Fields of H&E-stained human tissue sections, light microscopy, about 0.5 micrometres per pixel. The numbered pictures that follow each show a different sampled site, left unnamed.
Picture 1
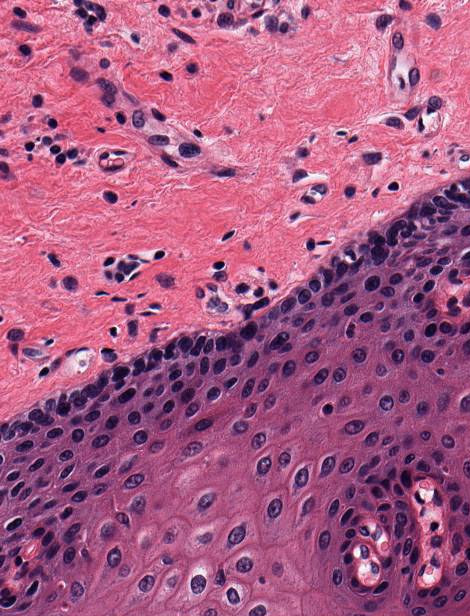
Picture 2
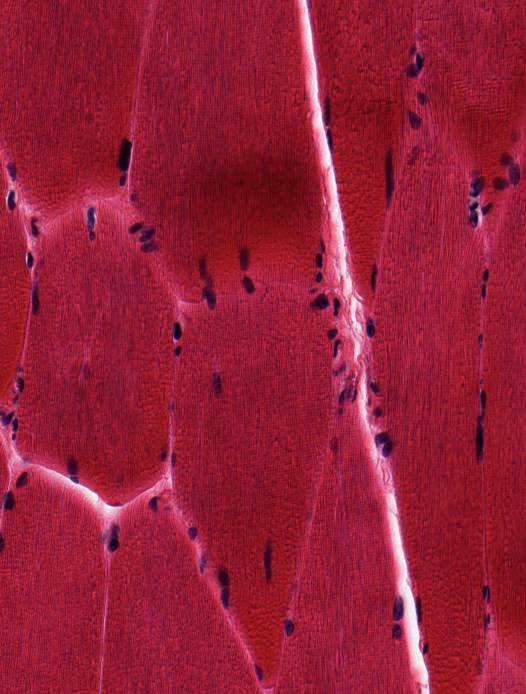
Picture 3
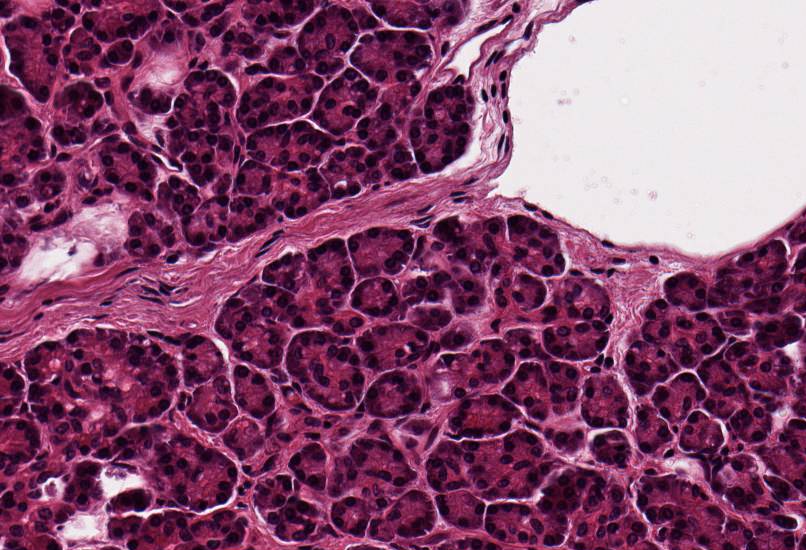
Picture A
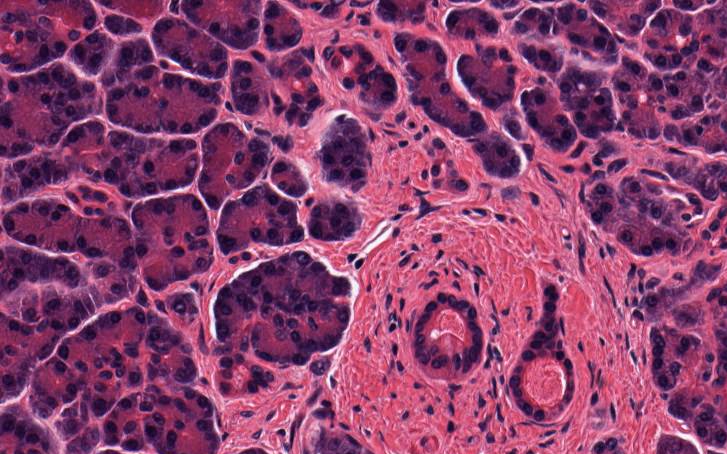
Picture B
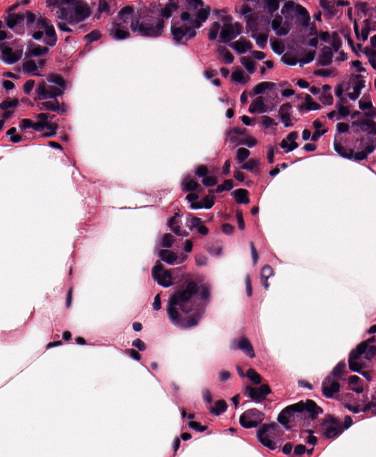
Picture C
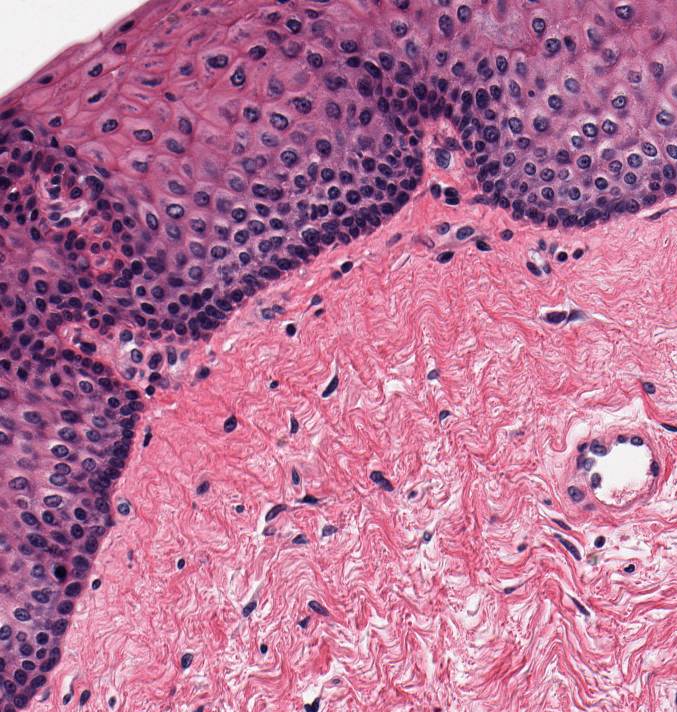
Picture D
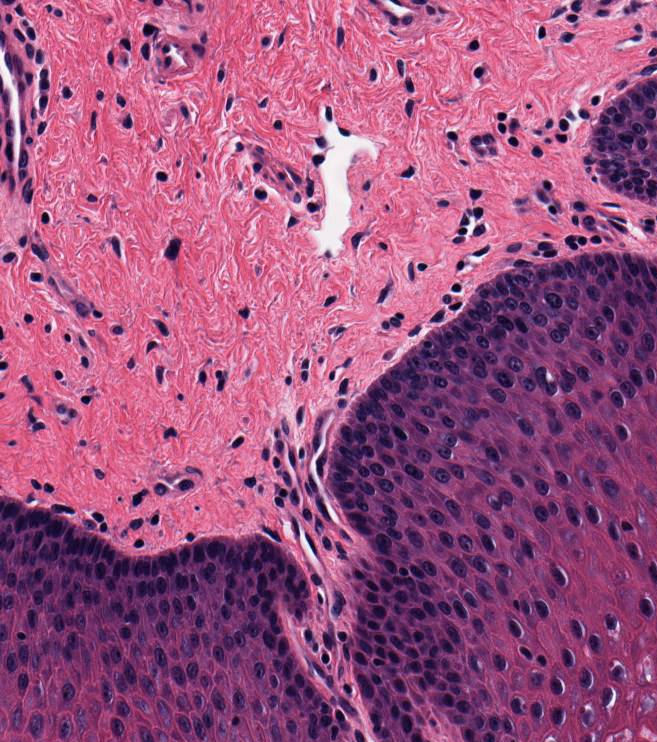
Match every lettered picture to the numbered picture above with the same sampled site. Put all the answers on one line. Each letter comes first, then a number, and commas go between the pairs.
A 3, B 3, C 1, D 1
